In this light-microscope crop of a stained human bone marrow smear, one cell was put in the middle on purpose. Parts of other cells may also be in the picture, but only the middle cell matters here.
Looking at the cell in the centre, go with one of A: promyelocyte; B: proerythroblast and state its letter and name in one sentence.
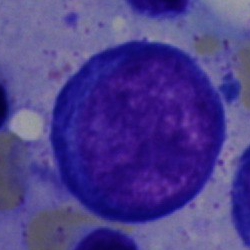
Option B holds up: the cell in the middle is a proerythroblast.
